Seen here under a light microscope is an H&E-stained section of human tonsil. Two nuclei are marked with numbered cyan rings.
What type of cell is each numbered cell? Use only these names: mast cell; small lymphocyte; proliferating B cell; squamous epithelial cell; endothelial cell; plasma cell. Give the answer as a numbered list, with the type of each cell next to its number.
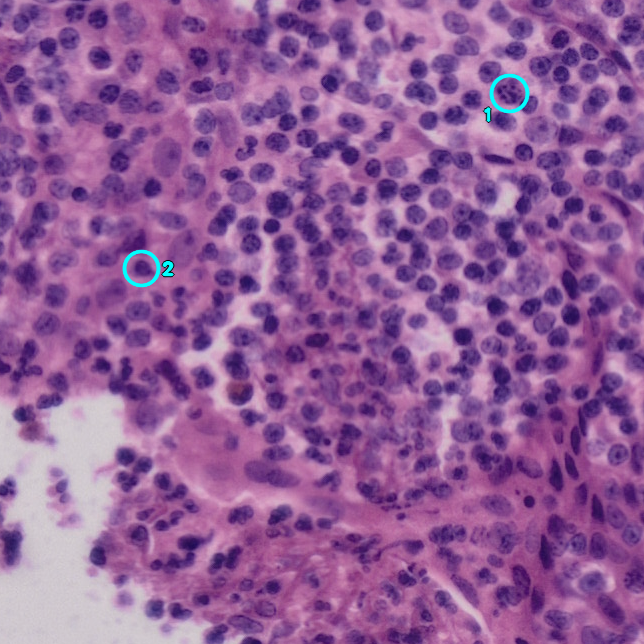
1. plasma cell
2. squamous epithelial cell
